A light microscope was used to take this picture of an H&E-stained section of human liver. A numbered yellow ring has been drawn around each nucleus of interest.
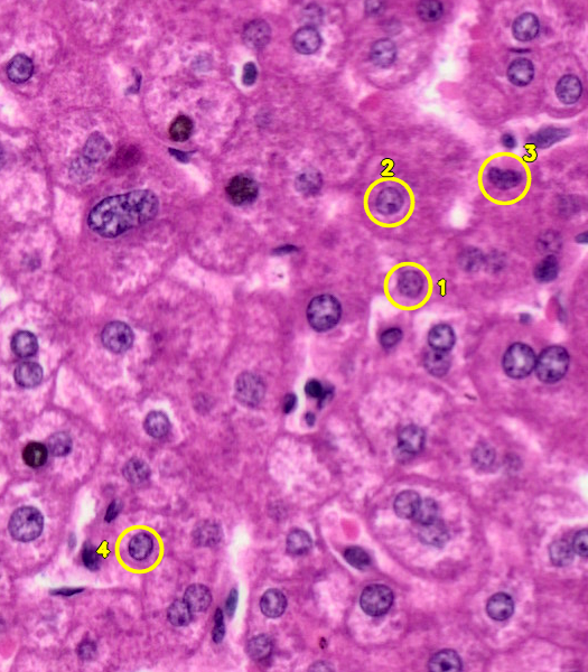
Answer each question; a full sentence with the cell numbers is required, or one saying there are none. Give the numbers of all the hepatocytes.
The cells given the numbers 1, 2 and 4 are hepatocytes.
